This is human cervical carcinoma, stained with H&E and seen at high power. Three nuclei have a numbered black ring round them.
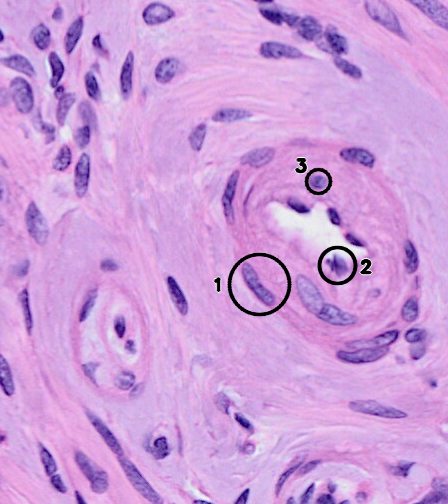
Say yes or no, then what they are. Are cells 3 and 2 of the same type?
No, cell 3 is a smooth muscle cell and cell 2 is an endothelial cell.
